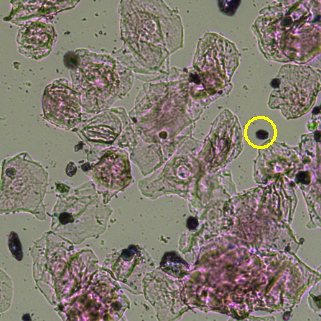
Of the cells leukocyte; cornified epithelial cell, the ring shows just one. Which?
The ring shows a leukocyte.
